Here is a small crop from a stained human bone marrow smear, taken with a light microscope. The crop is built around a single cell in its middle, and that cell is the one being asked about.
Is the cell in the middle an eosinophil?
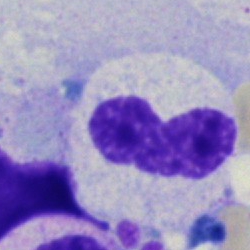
no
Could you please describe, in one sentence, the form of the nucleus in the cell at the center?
Look at the nucleus and you will find it divided into two or more lobes.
